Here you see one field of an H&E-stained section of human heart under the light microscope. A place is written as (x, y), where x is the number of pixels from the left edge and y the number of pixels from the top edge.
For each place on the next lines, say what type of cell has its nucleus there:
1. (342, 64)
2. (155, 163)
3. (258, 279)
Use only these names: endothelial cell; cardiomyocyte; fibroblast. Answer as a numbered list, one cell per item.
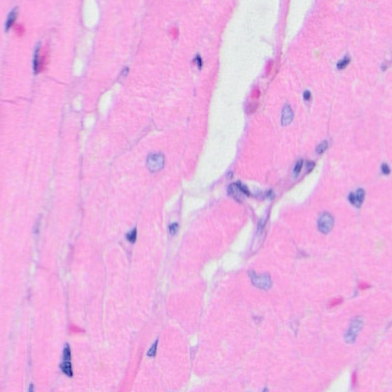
1. endothelial cell
2. cardiomyocyte
3. cardiomyocyte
